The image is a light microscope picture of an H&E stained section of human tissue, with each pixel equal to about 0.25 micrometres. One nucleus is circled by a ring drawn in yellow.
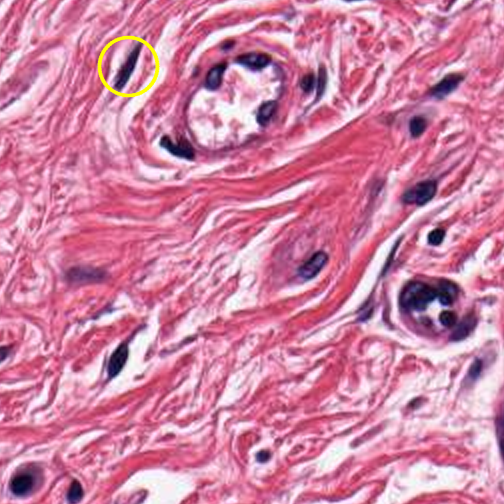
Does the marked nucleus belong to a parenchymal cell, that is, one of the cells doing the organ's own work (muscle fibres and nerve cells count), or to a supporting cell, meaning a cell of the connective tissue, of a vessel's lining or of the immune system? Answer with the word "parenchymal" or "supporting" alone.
supporting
